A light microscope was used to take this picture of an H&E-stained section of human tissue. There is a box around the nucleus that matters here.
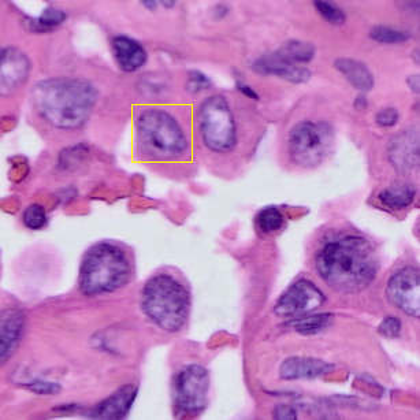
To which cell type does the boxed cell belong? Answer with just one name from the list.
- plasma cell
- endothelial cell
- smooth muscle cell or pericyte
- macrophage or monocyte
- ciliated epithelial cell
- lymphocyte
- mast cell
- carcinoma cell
carcinoma cell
